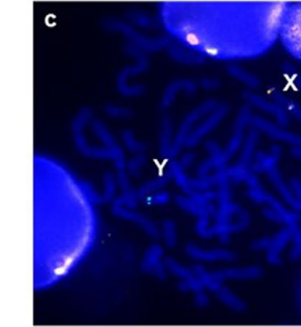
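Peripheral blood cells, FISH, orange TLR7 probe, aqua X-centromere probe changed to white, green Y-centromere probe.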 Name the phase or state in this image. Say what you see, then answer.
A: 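Metaphase. Many separate condensed chromosomes are spread across the field. Round intact nuclei lie only at the edges.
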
